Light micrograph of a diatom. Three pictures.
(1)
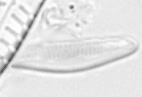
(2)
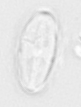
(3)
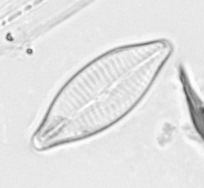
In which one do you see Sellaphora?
In picture 2.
